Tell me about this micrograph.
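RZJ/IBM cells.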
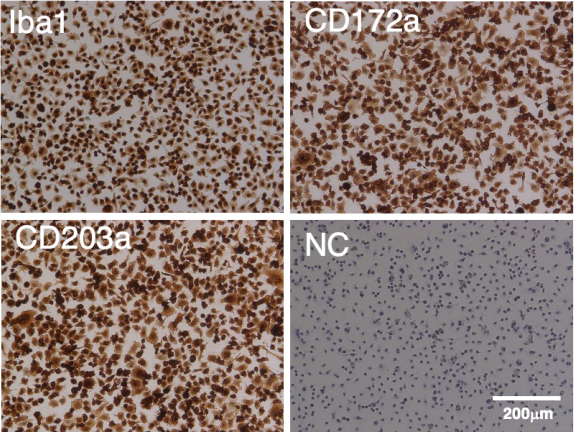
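These are four fields of the same cultured cells, densely scattered as single cells on a slide. In three fields almost every cell is filled with brown stain, through the cytoplasm as well as over the nucleus, and the cells look rounded or irregular, some with short extensions. In the remaining field the cells show only small pale blue nuclei and no brown colour at all.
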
